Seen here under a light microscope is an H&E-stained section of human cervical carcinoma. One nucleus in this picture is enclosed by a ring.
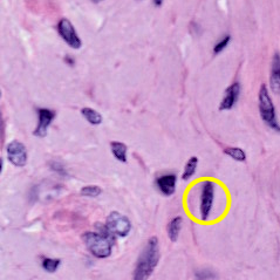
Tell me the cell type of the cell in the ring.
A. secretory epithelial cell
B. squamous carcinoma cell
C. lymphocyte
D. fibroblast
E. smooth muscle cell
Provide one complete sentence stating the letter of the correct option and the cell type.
Option D is correct here; the cell in the ring is a fibroblast.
